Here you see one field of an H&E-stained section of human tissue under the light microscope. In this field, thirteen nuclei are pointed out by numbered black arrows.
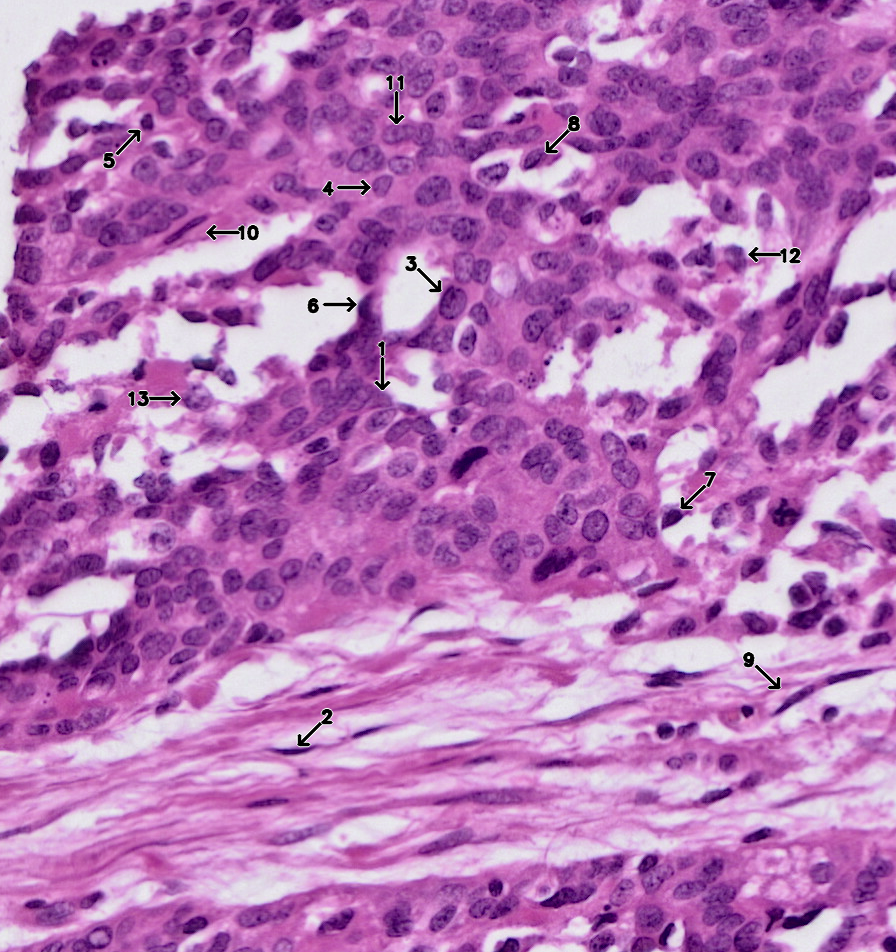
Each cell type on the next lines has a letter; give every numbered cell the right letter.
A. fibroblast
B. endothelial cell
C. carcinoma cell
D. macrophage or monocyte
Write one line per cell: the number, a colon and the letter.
1: C
2: A
3: C
4: D
5: C
6: C
7: C
8: D
9: A
10: A
11: C
12: C
13: D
